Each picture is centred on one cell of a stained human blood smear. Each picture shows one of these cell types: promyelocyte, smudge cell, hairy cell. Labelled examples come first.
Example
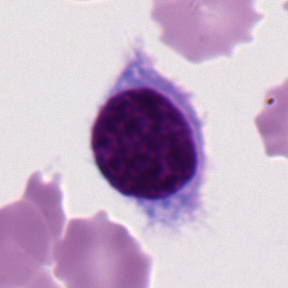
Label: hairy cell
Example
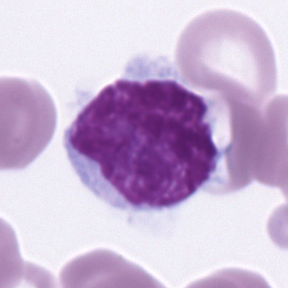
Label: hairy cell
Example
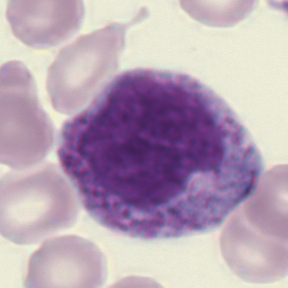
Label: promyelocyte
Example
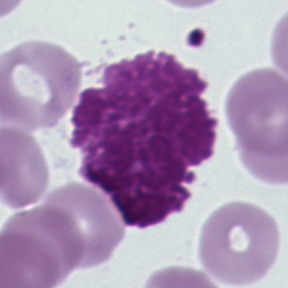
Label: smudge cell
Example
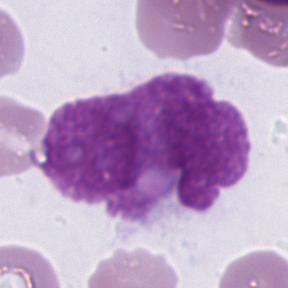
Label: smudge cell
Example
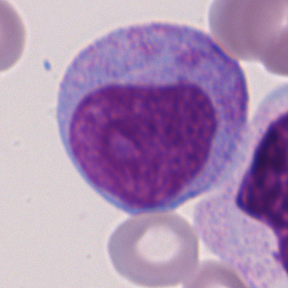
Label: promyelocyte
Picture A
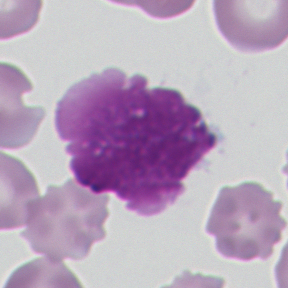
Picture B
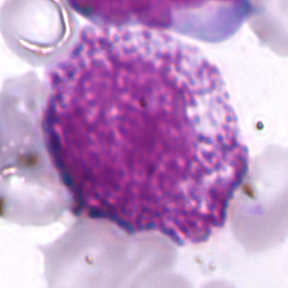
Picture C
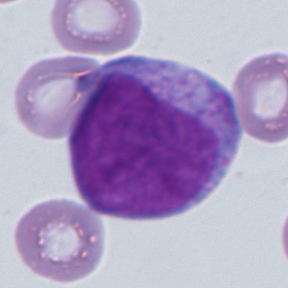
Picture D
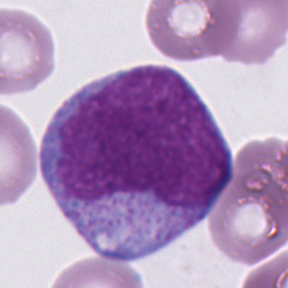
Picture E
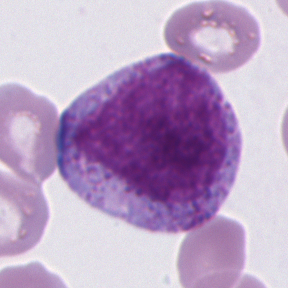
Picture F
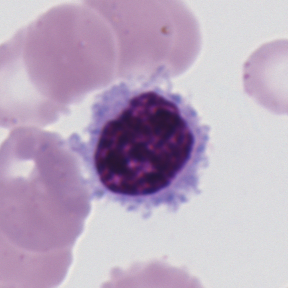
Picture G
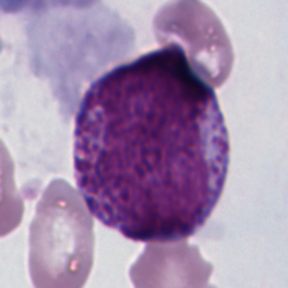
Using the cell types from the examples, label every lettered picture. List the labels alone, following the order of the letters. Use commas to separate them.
smudge cell, promyelocyte, promyelocyte, promyelocyte, promyelocyte, hairy cell, promyelocyte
